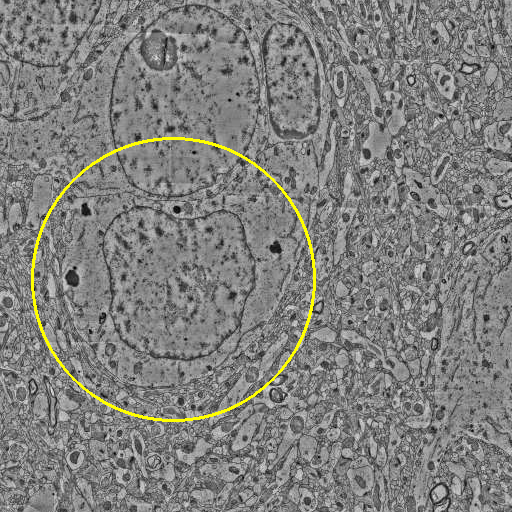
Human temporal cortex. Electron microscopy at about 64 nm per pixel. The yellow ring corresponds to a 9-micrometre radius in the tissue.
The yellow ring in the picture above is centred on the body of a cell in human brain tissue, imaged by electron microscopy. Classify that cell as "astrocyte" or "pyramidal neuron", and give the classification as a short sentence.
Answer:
The cell in the middle of the ring is a pyramidal neuron.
